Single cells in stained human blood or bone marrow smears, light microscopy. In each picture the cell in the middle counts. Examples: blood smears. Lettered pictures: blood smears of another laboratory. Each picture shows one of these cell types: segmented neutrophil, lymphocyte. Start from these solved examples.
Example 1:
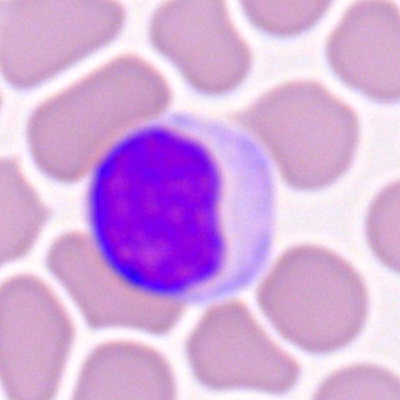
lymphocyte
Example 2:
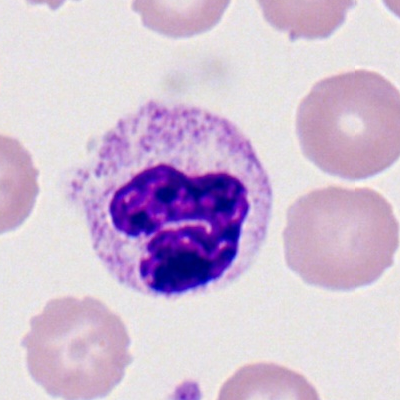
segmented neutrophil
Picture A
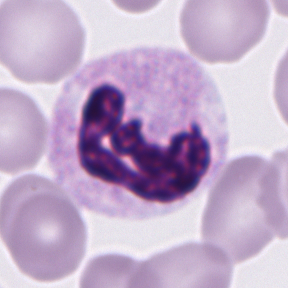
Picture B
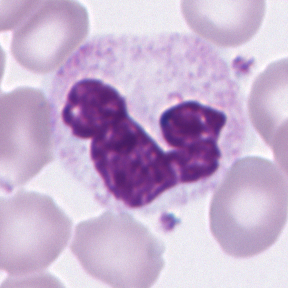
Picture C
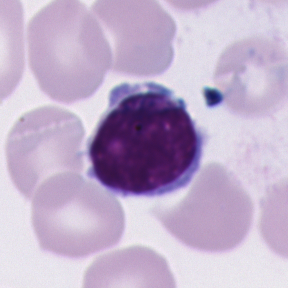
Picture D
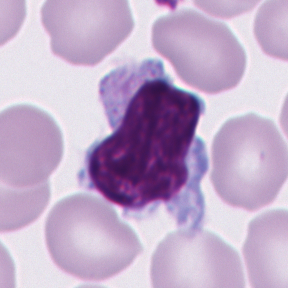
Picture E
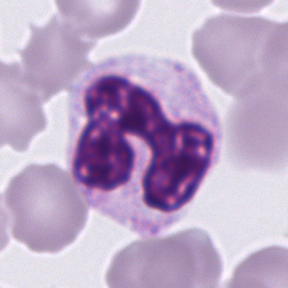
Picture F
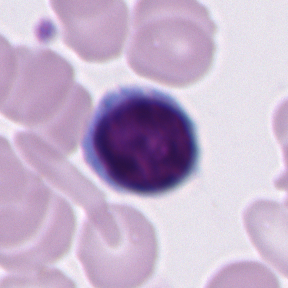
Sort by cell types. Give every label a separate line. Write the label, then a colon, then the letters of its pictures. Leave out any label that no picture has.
segmented neutrophil: A, B, E
lymphocyte: C, D, F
